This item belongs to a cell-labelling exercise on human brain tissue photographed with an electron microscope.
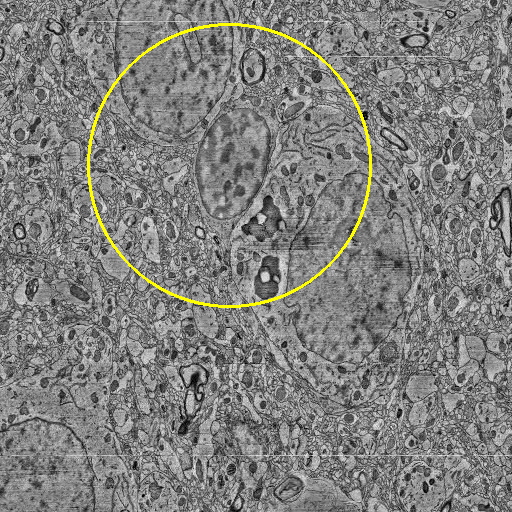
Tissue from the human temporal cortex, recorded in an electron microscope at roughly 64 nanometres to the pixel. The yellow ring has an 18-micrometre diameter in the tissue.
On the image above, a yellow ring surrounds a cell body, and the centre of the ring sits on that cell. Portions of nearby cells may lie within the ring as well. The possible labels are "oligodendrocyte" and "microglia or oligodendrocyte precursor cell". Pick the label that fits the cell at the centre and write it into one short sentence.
This cell should be labelled as an oligodendrocyte.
